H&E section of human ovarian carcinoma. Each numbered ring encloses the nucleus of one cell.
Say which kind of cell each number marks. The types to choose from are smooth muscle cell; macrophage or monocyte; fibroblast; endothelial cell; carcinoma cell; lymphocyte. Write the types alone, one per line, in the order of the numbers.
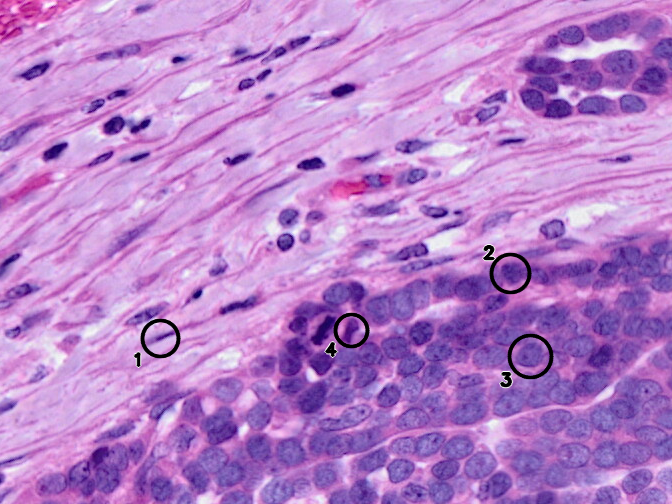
fibroblast
carcinoma cell
carcinoma cell
carcinoma cell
